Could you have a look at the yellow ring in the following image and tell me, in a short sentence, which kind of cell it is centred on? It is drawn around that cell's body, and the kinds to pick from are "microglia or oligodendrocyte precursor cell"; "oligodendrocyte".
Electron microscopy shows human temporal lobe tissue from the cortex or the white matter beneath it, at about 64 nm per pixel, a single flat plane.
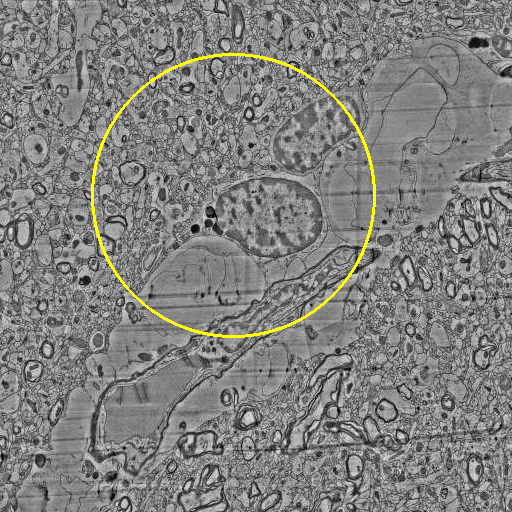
The ring is centred on the body of a microglial cell or oligodendrocyte precursor cell.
